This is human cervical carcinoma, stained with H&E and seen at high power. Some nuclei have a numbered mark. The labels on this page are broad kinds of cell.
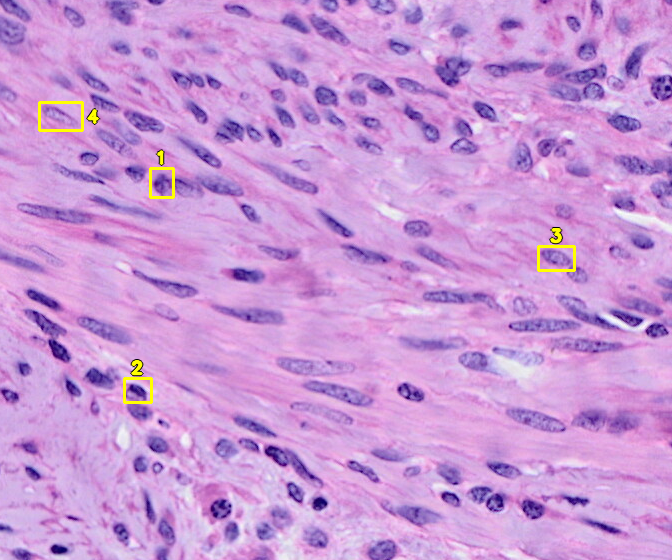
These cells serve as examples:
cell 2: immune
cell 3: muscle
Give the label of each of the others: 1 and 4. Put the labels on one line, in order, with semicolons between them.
muscle; muscle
